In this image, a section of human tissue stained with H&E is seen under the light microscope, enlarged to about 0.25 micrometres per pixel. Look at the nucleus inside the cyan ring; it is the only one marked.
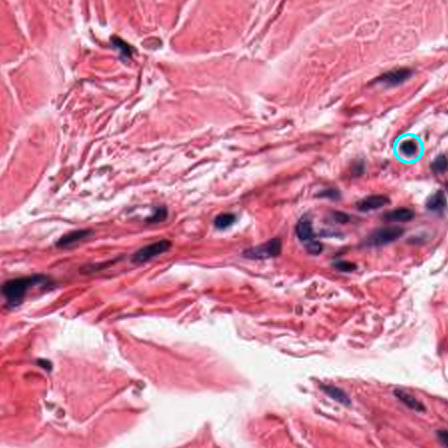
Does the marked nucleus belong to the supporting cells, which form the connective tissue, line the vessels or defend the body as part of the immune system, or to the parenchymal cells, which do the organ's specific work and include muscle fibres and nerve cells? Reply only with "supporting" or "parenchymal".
supporting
